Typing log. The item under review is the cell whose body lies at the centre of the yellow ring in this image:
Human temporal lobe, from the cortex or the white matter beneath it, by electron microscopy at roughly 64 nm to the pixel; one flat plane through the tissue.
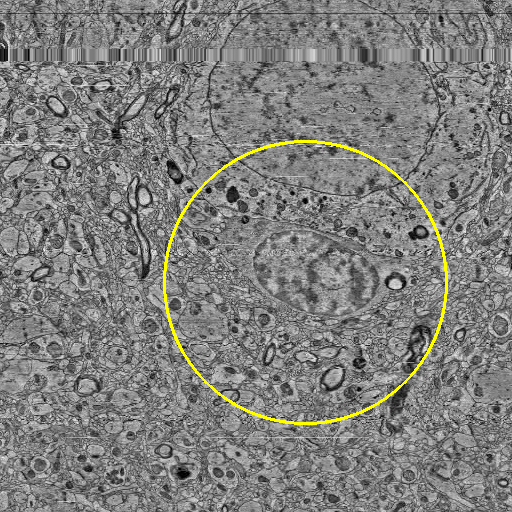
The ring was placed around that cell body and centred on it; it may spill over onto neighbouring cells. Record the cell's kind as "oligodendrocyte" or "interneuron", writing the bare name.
oligodendrocyte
